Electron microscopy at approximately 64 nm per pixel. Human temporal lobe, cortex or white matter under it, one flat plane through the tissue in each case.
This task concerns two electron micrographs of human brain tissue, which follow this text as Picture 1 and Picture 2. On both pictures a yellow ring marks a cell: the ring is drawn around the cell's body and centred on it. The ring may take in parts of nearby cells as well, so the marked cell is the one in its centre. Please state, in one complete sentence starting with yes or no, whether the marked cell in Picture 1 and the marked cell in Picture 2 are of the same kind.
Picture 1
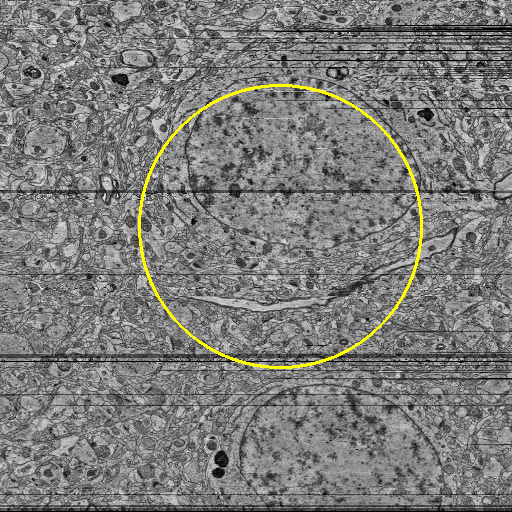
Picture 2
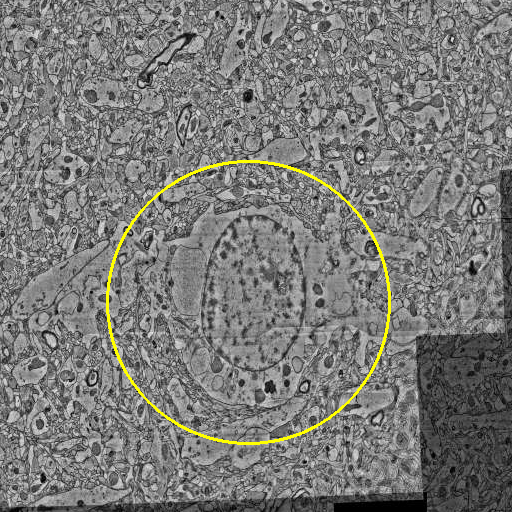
No, the marked cells in the two pictures are of two kinds.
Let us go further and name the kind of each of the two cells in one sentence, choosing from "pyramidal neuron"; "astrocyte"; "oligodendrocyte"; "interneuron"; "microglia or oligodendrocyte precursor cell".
The ring of the first picture is on a pyramidal neuron, the ring of the second on an astrocyte.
